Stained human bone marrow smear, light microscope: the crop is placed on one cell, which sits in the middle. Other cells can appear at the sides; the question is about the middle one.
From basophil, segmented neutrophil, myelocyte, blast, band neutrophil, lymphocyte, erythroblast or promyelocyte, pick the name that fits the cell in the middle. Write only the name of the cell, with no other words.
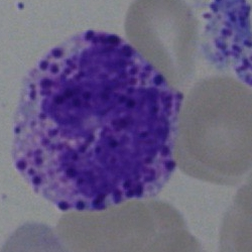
basophil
